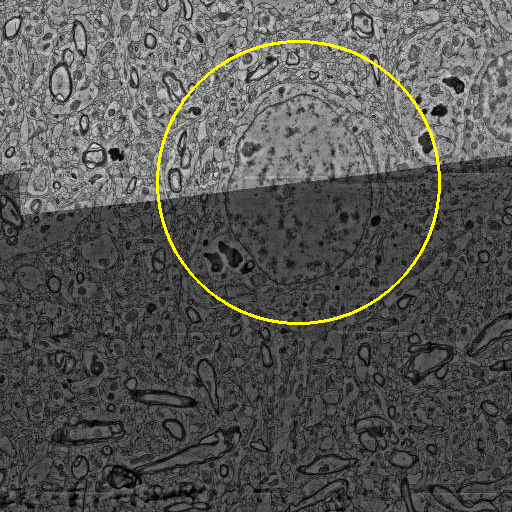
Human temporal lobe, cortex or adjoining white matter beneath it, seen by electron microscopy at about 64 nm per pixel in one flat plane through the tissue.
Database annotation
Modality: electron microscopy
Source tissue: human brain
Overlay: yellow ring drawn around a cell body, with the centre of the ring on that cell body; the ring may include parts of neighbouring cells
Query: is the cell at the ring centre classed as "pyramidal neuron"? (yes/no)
yes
